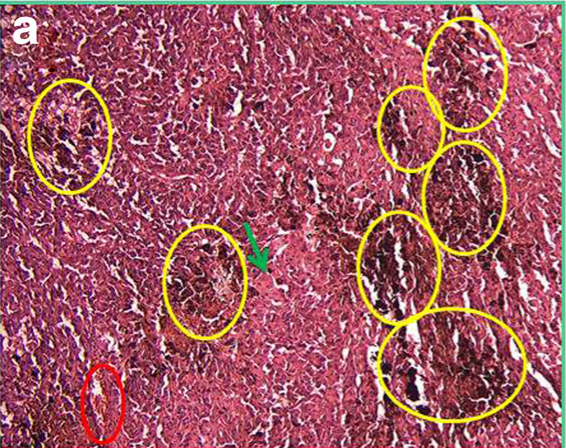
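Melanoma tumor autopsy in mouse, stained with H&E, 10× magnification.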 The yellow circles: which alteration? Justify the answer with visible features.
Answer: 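The circled areas contain dark brown to black deposits. That points to this answer: intensive melanin pigmentation.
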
